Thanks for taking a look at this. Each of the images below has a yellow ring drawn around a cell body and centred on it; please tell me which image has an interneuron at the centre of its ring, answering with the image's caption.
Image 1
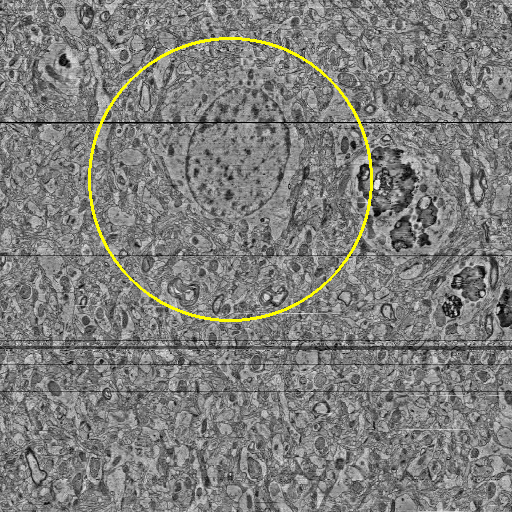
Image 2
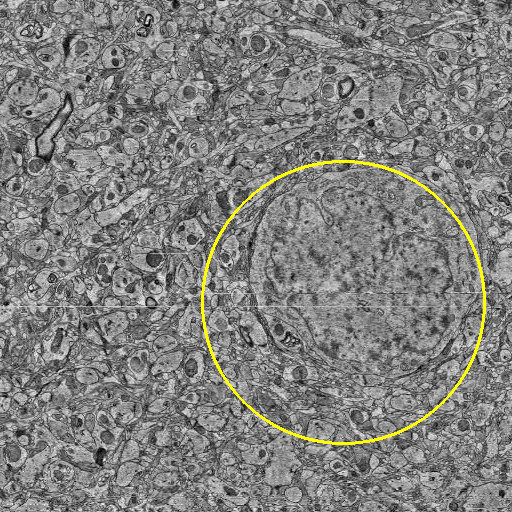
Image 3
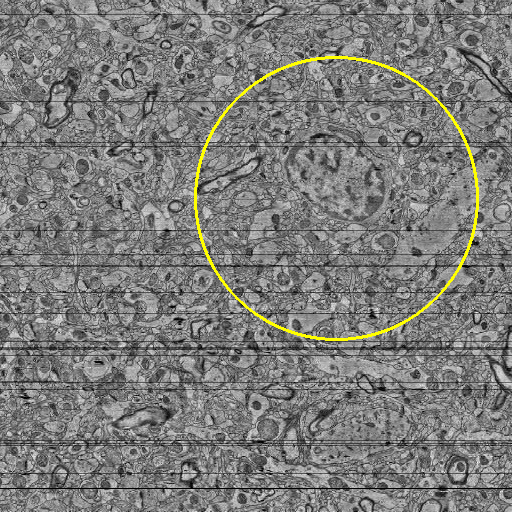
Image 2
